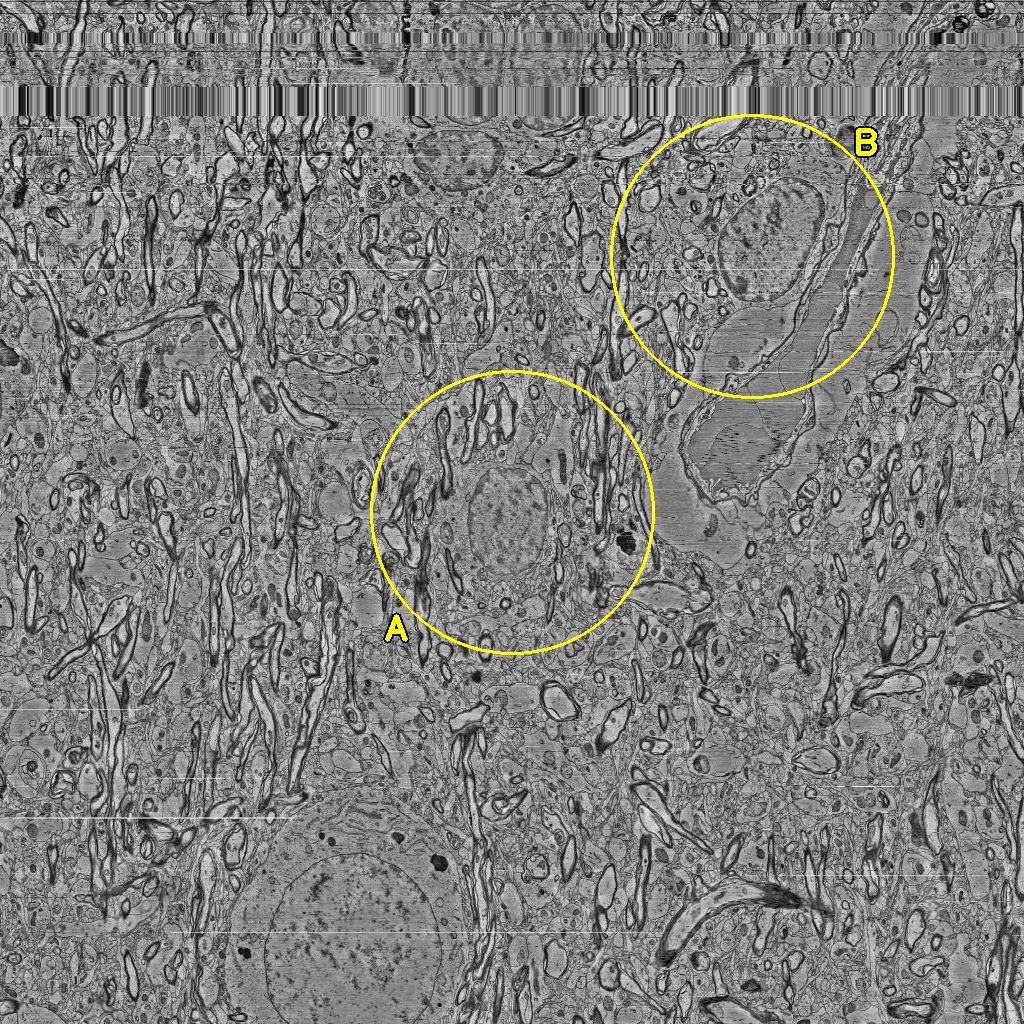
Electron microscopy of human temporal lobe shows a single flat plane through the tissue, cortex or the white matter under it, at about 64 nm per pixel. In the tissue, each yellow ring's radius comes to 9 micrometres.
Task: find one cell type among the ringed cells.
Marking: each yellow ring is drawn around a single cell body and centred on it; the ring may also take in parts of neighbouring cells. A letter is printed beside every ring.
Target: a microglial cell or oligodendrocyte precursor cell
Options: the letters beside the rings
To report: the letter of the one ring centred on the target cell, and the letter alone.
B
